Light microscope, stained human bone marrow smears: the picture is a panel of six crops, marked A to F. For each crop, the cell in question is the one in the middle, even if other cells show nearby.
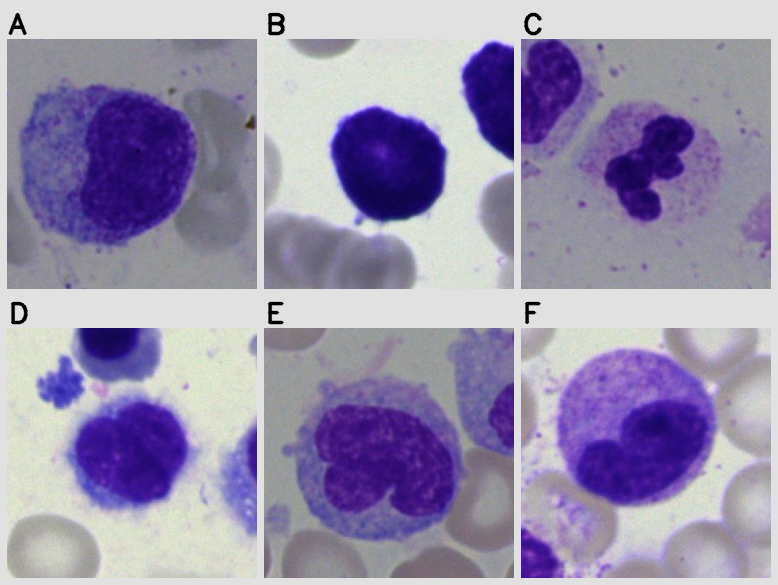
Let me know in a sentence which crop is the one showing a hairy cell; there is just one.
So the crop with a hairy cell at its center is crop D.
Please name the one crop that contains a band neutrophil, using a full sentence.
Only in crop F is a band neutrophil shown.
